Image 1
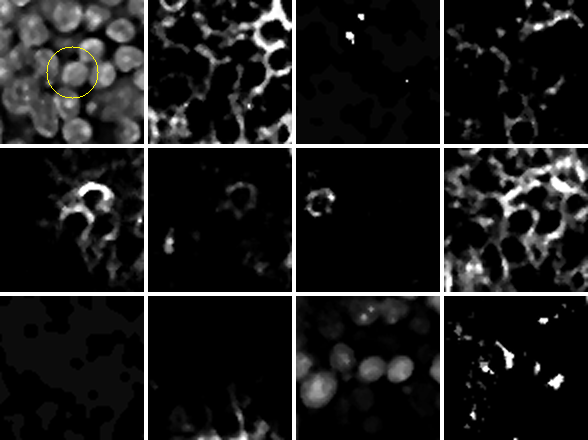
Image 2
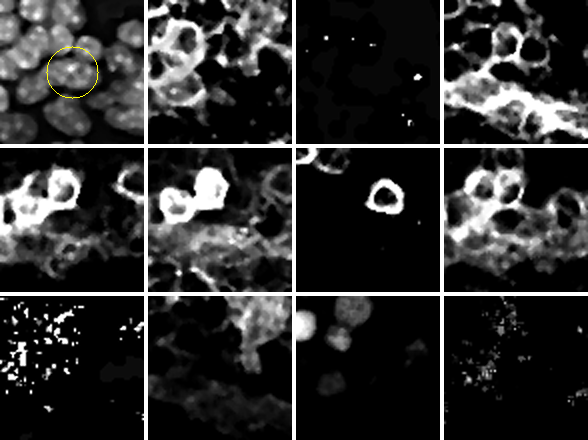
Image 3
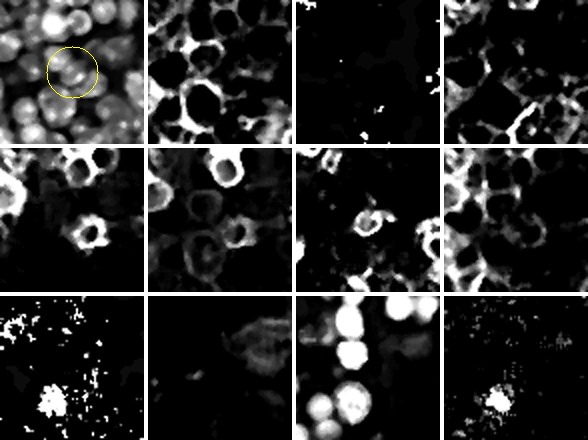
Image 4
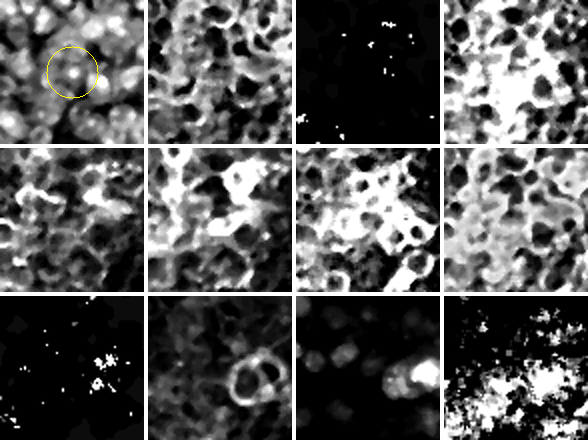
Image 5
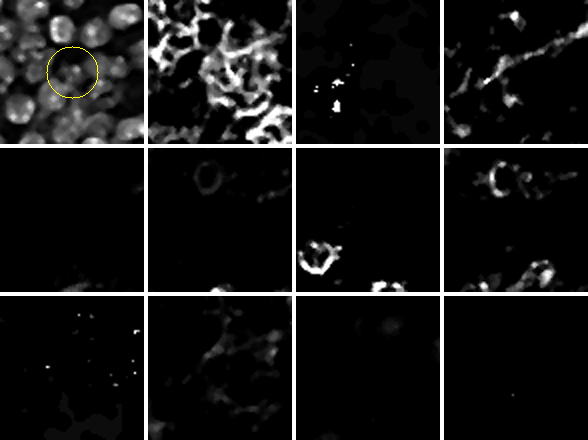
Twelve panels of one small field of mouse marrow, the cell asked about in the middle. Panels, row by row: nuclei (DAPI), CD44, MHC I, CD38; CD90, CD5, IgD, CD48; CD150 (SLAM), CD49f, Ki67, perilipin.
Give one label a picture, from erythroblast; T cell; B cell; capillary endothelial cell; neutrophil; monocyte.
(1) erythroblast
(2) capillary endothelial cell
(3) B cell
(4) T cell
(5) neutrophil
